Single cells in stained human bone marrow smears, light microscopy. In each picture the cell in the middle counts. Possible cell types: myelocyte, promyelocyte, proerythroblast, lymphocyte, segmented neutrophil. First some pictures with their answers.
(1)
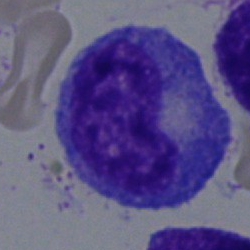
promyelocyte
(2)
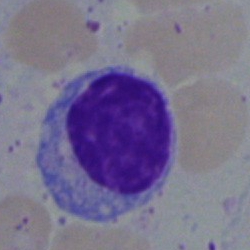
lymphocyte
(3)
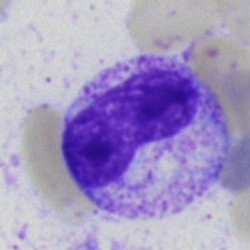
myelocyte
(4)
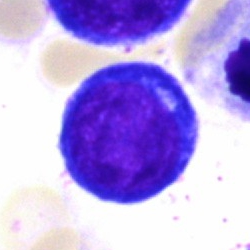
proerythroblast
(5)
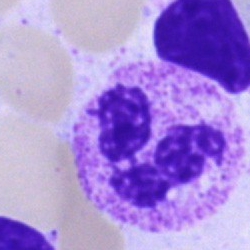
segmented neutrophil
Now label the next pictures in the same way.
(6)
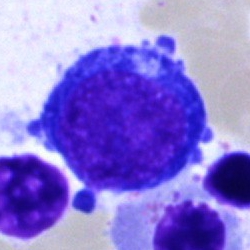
proerythroblast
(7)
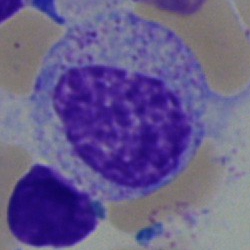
myelocyte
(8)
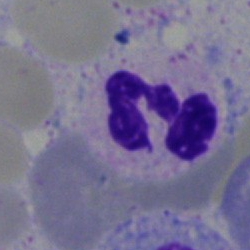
segmented neutrophil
